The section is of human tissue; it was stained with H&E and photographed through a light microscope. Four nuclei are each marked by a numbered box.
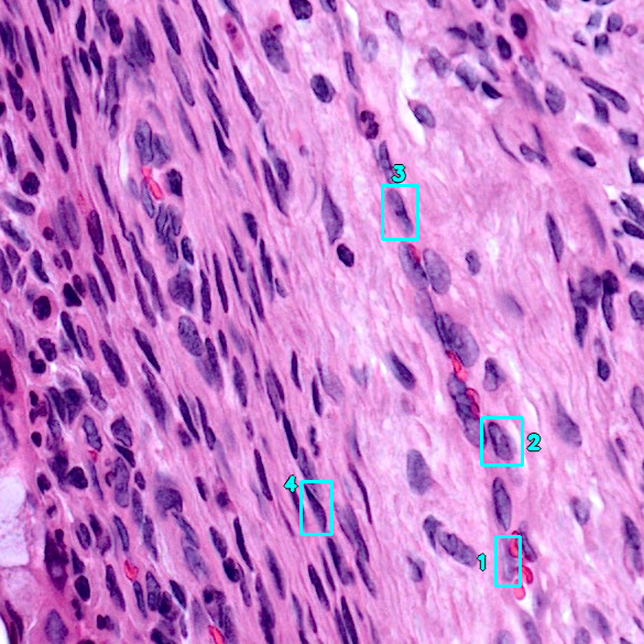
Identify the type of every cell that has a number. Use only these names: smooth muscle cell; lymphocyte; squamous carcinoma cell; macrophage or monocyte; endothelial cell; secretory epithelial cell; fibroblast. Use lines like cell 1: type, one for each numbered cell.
cell 1: endothelial cell
cell 2: endothelial cell
cell 3: endothelial cell
cell 4: fibroblast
